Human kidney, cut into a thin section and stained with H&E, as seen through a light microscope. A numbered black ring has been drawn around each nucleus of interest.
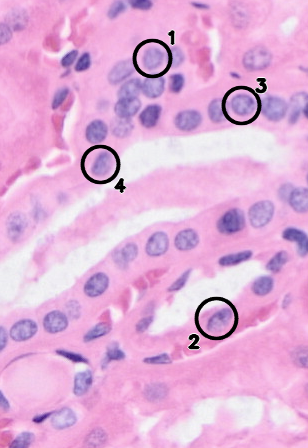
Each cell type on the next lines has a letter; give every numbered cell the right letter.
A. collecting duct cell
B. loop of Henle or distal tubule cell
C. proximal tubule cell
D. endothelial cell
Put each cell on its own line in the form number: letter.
1: A
2: B
3: A
4: A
